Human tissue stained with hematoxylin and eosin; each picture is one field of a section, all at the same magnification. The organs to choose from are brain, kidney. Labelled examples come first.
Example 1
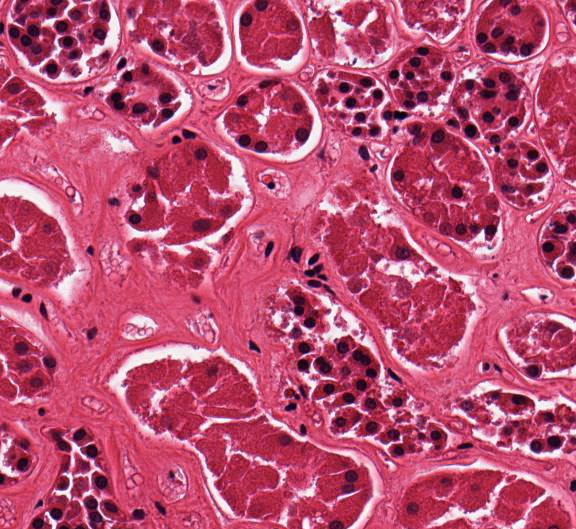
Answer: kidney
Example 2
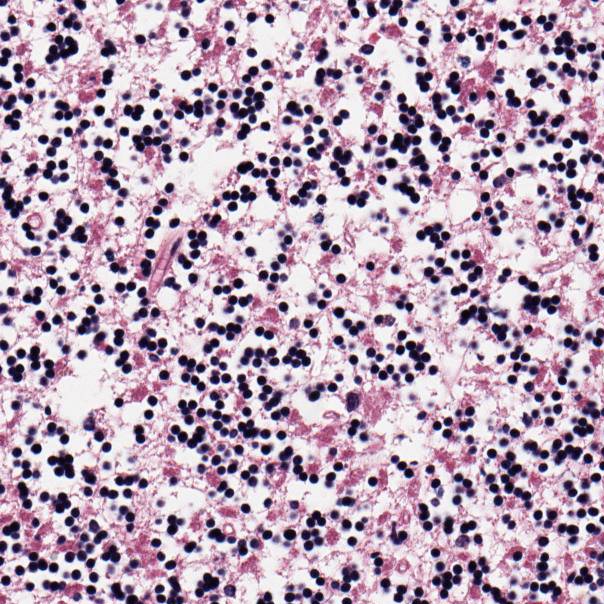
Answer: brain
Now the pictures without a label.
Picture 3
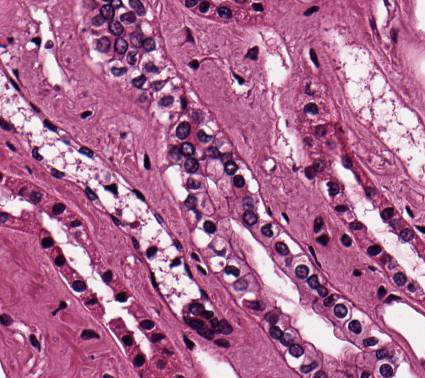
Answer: kidney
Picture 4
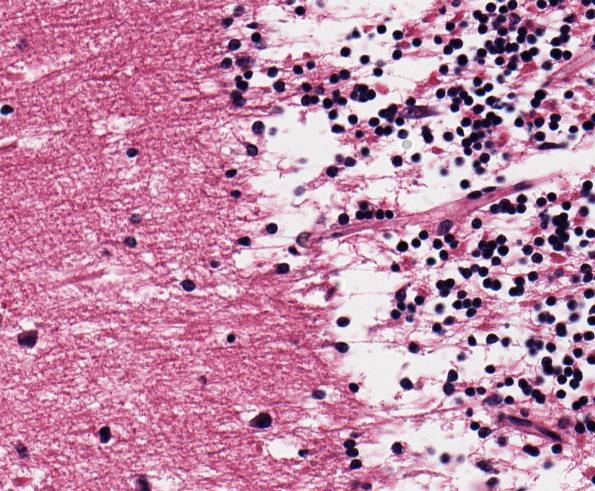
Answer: brain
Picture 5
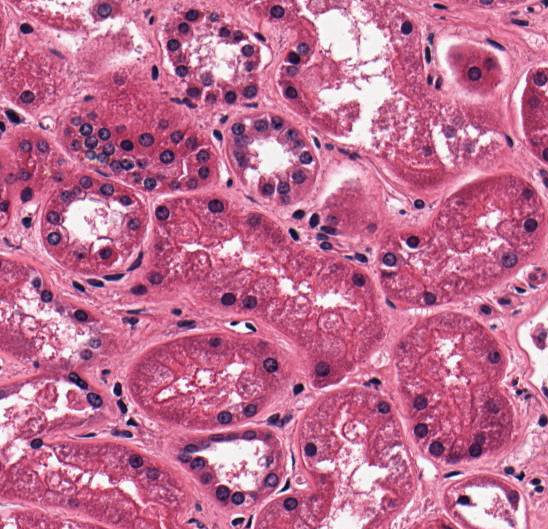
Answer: kidney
